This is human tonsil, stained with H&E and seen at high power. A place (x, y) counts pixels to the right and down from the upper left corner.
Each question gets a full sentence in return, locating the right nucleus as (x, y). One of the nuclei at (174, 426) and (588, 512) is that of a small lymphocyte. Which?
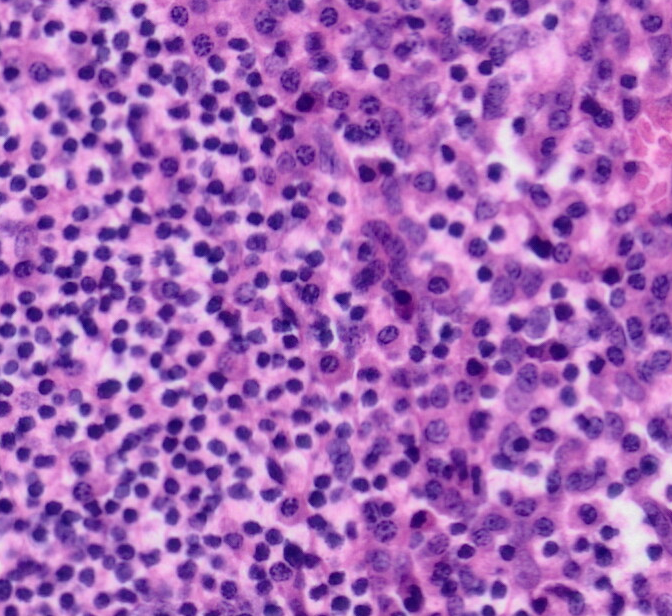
Between the pair, the nucleus at (174, 426) belongs to a small lymphocyte.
